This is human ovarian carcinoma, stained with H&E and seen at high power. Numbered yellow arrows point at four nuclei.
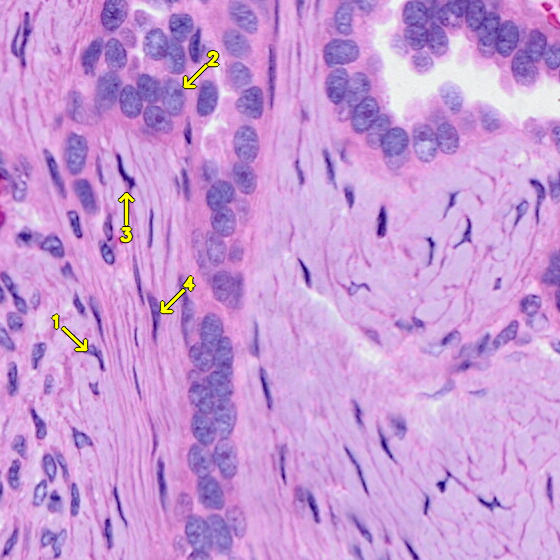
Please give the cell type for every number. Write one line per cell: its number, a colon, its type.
1: fibroblast
2: carcinoma cell
3: fibroblast
4: fibroblast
